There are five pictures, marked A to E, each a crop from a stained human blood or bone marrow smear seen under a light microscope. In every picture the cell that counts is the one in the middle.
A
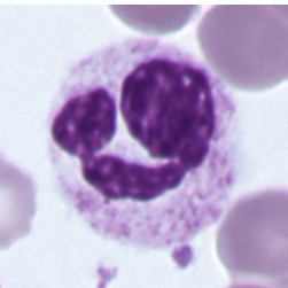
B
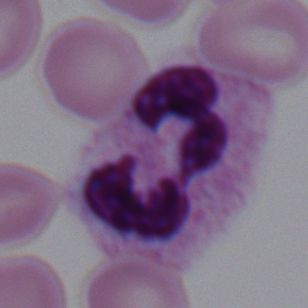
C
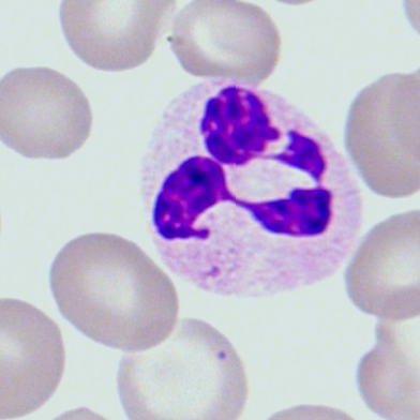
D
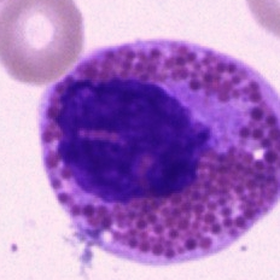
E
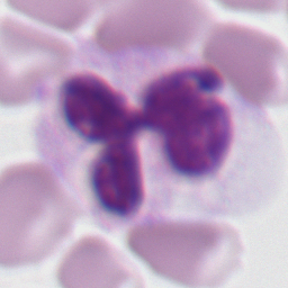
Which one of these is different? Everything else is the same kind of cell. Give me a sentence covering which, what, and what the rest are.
Crop D is not like the others: it is an eosinophil, and they are neutrophils.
